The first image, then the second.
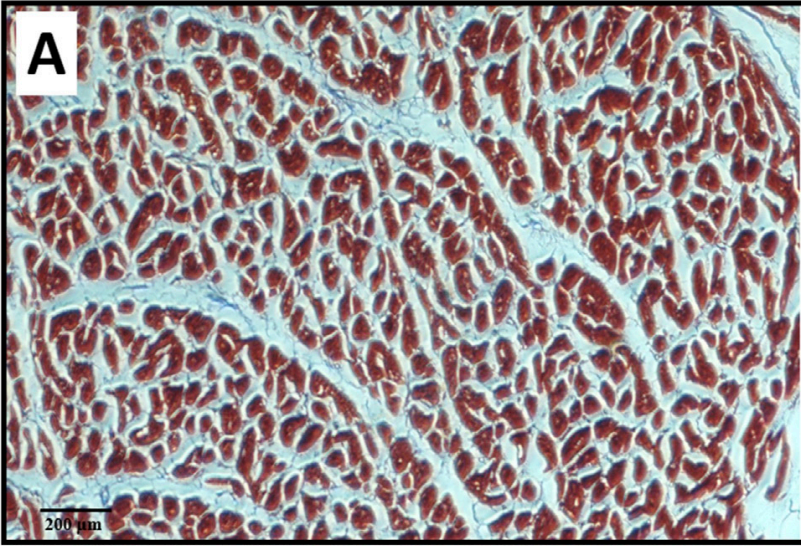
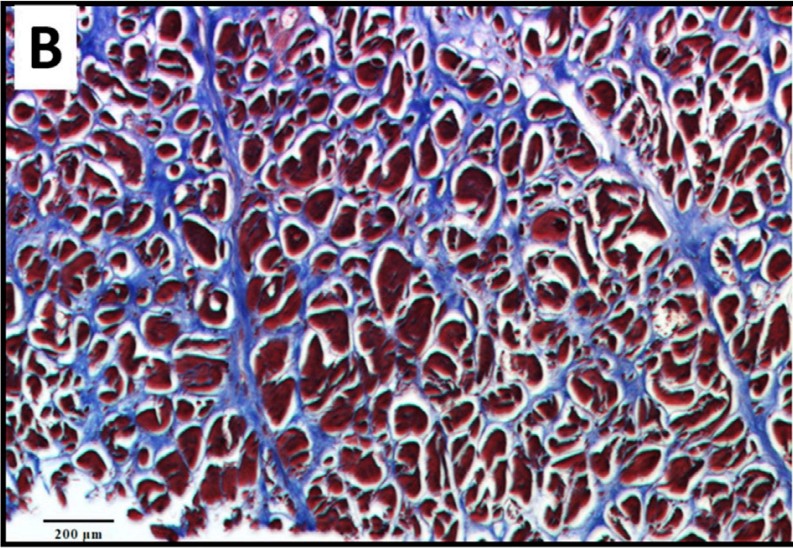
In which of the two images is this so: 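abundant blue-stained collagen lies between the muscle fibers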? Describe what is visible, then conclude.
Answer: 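Second image: thick blue bands and blue material surround the red fibers throughout the field. First image: the spaces between red fibers are mostly pale, with only thin faint blue strands.
Answer: the second image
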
